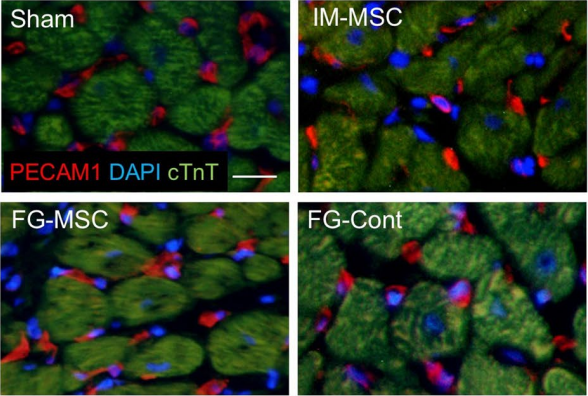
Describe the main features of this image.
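Cardiomyocytes of the heart wall are seen in cross-section as large, rounded to polygonal green profiles with a fine granular to striated inner texture. Blue nuclei lie within some of the green profiles and in the narrow spaces between them. The four fields show cardiomyocyte profiles of differing size.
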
